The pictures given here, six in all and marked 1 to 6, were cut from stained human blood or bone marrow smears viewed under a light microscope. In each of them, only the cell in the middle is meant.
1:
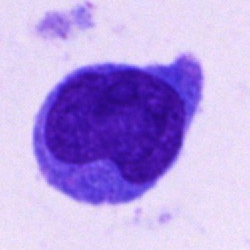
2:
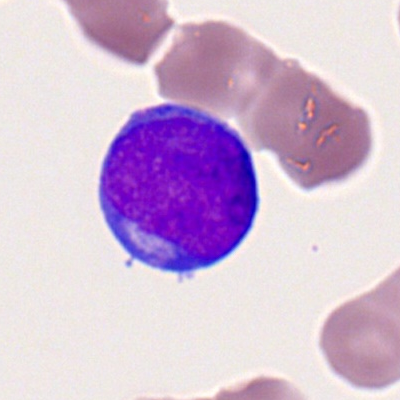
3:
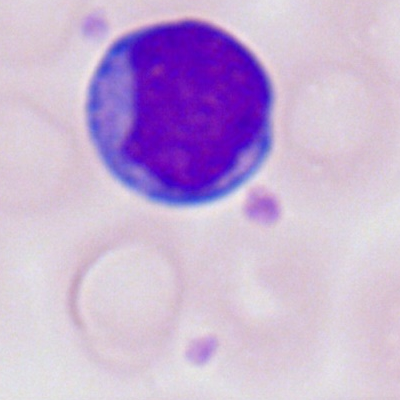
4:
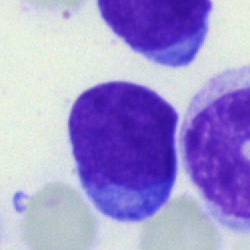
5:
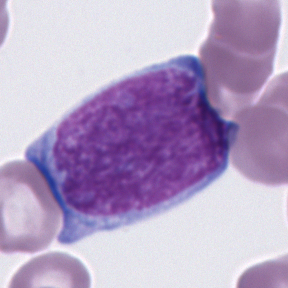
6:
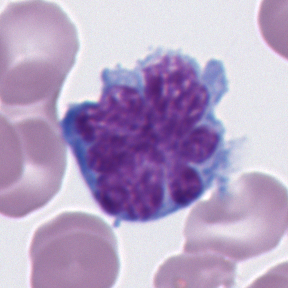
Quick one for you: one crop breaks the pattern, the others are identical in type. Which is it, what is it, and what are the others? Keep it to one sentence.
Crop 6 stands apart as a monocyte, whereas the remaining crops all show blasts.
